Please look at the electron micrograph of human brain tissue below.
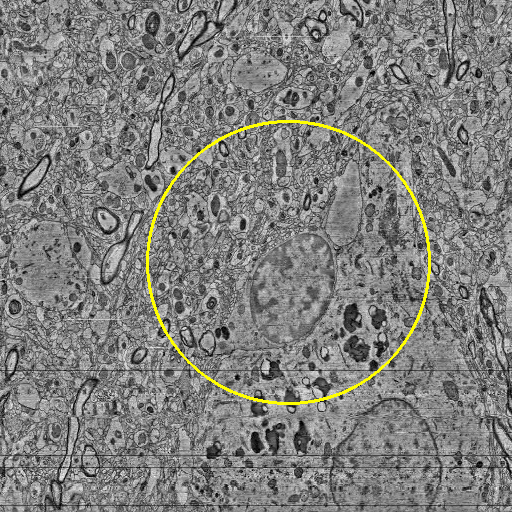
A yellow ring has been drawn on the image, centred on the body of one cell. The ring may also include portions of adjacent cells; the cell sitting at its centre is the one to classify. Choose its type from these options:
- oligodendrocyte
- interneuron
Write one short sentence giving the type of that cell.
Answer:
The cell in the middle of the ring is an oligodendrocyte.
